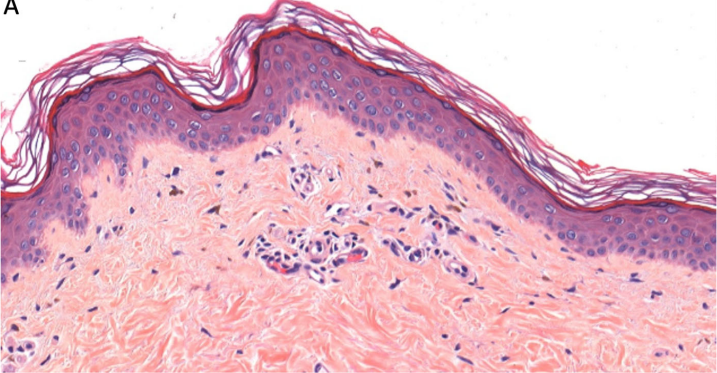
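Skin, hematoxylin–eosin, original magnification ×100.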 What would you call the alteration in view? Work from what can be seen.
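Small dark round nuclei cluster around small vessels in the upper dermis. The cluster is sparse, not a dense band.
Mild perivascular lymphocytic infiltrate.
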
